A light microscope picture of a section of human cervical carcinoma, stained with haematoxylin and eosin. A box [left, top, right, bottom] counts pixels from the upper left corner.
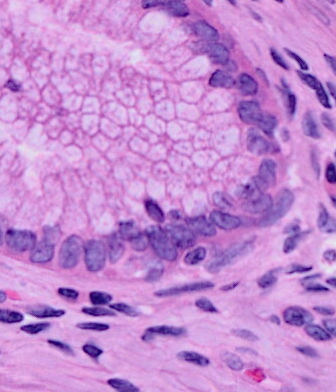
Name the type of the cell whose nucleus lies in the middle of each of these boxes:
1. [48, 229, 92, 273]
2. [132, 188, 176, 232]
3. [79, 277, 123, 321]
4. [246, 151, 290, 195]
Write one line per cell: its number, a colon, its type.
1: secretory epithelial cell
2: secretory epithelial cell
3: lymphocyte
4: secretory epithelial cell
